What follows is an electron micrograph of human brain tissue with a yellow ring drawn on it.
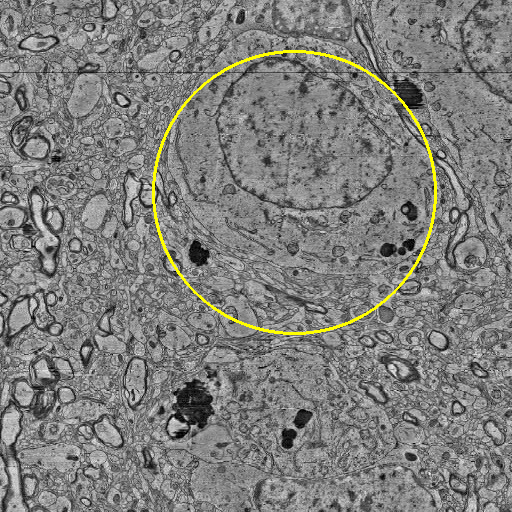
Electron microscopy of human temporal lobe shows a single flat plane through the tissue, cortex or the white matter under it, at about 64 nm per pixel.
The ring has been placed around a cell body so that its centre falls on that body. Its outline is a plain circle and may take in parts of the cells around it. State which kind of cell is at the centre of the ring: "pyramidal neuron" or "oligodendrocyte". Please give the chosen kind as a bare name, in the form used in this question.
pyramidal neuron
